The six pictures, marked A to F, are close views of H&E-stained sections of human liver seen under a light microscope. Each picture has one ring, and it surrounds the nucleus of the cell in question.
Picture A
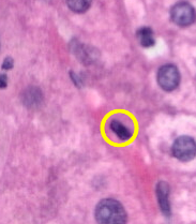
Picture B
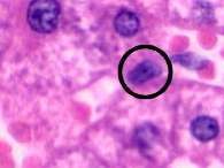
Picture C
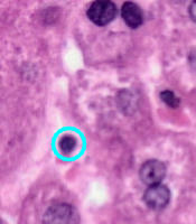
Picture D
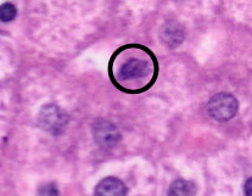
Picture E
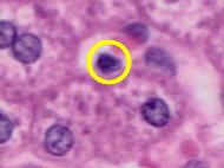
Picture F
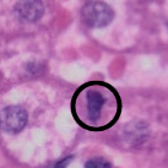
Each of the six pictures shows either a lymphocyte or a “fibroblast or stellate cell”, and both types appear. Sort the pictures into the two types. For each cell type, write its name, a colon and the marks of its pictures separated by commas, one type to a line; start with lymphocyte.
lymphocyte: A, C, E
fibroblast or stellate cell: B, D, F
